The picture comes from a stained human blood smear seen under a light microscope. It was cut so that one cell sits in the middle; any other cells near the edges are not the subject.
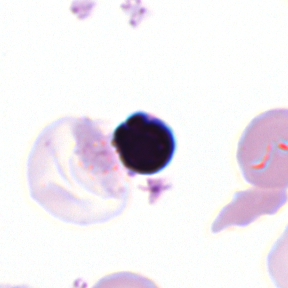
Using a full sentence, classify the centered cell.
This crop has a normoblast at its centre.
